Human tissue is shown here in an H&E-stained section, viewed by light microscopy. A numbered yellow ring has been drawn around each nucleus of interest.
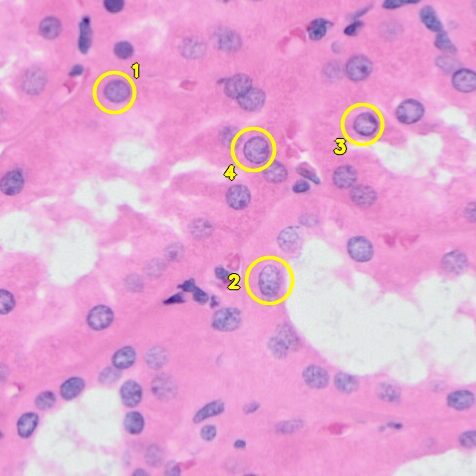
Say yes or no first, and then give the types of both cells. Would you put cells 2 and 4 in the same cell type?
No, cell 2 is categorized as a loop of Henle or distal tubule cell, while cell 4 is categorized as a proximal tubule cell.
